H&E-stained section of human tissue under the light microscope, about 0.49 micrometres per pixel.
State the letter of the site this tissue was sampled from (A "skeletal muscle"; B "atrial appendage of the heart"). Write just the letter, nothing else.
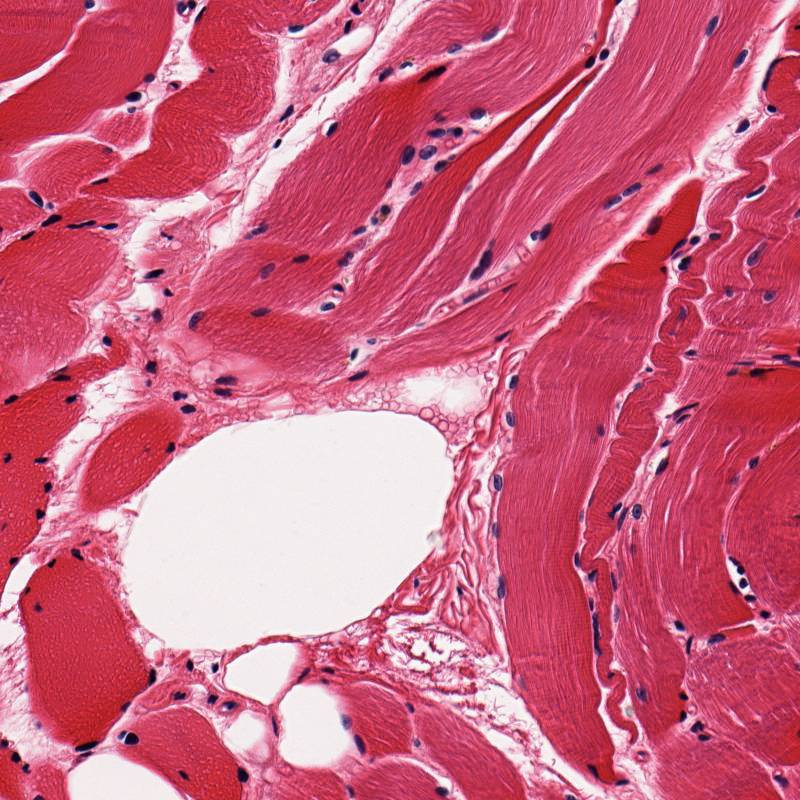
A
